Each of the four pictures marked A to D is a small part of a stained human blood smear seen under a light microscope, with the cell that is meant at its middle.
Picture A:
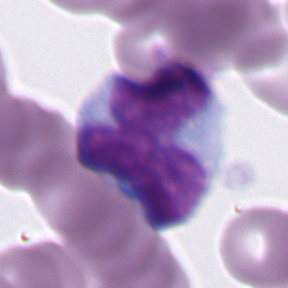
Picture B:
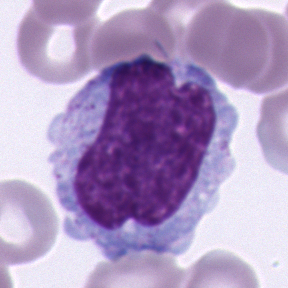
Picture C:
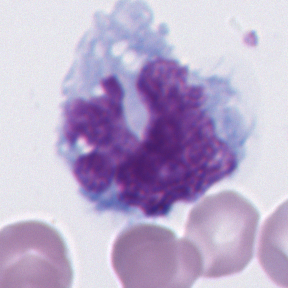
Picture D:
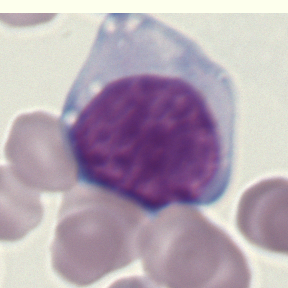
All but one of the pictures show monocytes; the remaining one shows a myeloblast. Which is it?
D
